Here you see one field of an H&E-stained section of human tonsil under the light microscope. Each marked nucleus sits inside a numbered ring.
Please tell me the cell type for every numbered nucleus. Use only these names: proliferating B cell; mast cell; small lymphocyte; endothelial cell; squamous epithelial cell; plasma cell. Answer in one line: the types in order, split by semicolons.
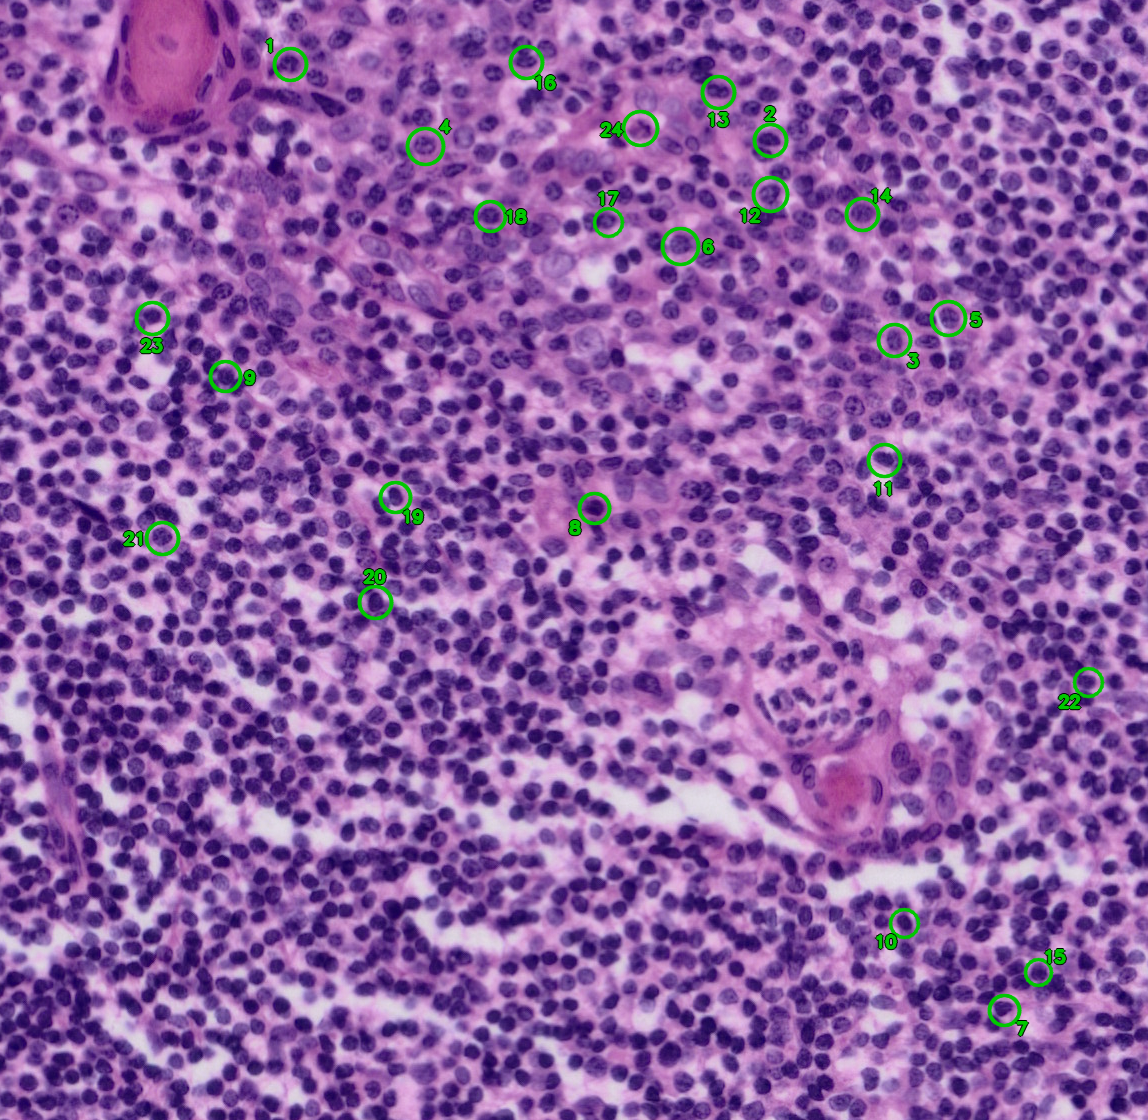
plasma cell; plasma cell; plasma cell; plasma cell; plasma cell; plasma cell; small lymphocyte; endothelial cell; small lymphocyte; small lymphocyte; small lymphocyte; plasma cell; plasma cell; plasma cell; small lymphocyte; plasma cell; plasma cell; plasma cell; small lymphocyte; small lymphocyte; small lymphocyte; small lymphocyte; small lymphocyte; endothelial cell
